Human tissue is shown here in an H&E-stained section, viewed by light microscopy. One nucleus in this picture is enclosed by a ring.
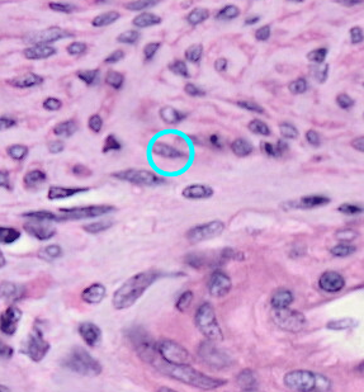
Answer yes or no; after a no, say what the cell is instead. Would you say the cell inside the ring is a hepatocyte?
No, it is a smooth muscle cell.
